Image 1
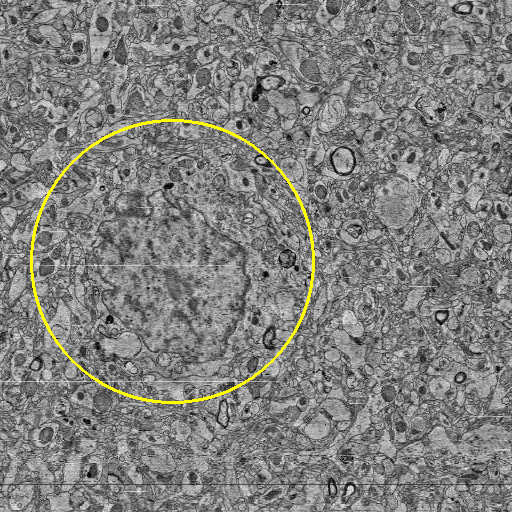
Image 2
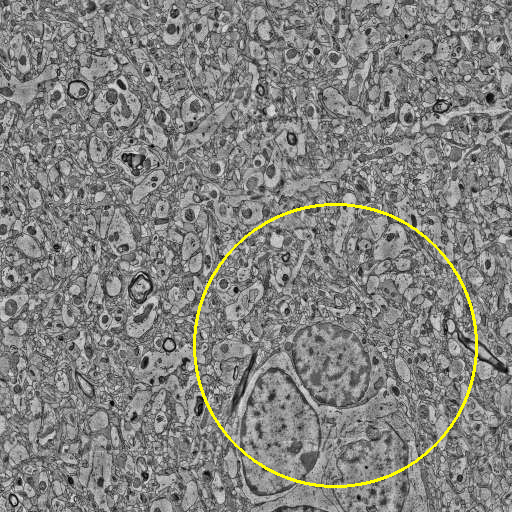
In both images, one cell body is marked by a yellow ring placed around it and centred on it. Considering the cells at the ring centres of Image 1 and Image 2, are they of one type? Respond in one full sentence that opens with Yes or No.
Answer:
No, two types apply to the ring-centred cells of Image 1 and Image 2.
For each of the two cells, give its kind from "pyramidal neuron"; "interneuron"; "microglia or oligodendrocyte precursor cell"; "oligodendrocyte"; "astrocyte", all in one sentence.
The first picture has an interneuron in its ring, the second has an oligodendrocyte.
